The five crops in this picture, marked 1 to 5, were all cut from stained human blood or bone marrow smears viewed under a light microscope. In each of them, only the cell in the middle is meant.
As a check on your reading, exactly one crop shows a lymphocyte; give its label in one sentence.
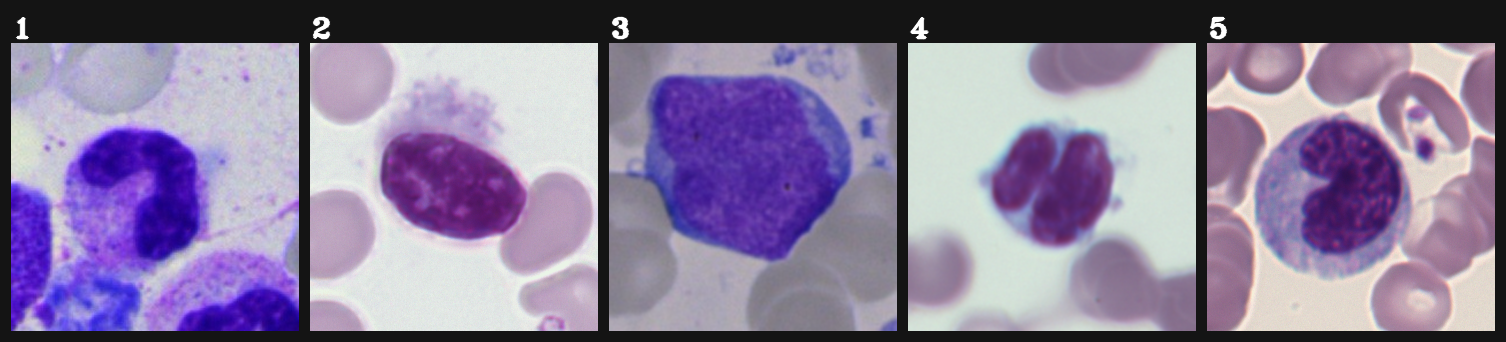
In the set of crops, crop 4 is the one that contains a lymphocyte.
